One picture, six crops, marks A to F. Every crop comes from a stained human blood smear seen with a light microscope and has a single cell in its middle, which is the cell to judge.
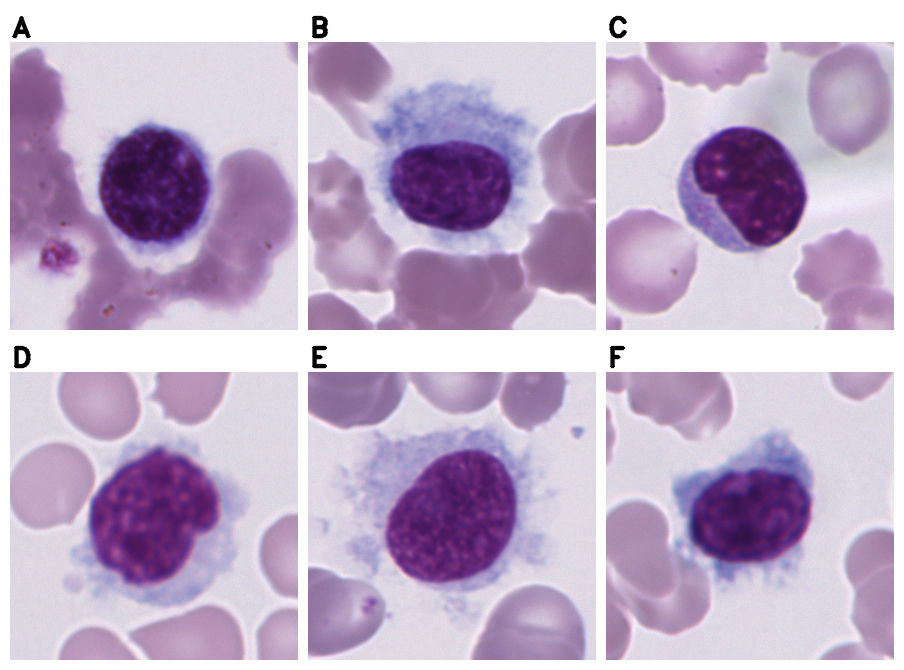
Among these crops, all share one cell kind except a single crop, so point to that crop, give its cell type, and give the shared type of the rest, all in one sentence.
Crop C does not fit, being a typical lymphocyte where all the others show hairy cells.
